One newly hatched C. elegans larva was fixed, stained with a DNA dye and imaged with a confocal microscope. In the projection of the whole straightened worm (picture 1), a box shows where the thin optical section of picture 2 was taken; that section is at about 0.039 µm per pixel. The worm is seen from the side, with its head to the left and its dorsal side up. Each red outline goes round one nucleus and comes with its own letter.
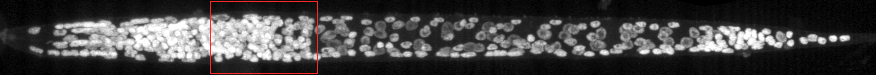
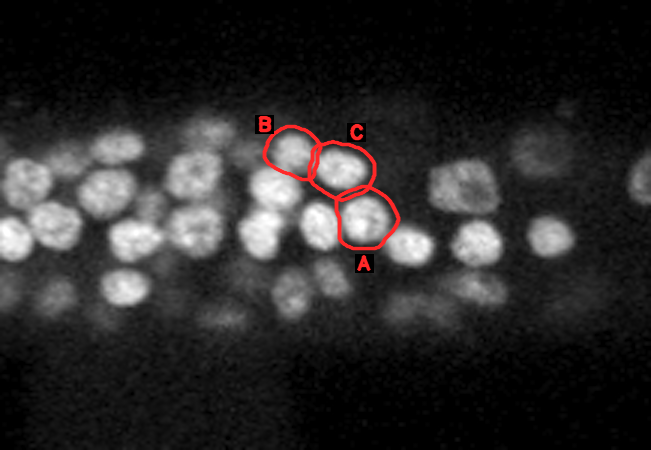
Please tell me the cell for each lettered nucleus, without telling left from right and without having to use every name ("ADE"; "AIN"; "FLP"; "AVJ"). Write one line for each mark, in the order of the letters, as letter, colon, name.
A: ADE
B: AVJ
C: AIN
